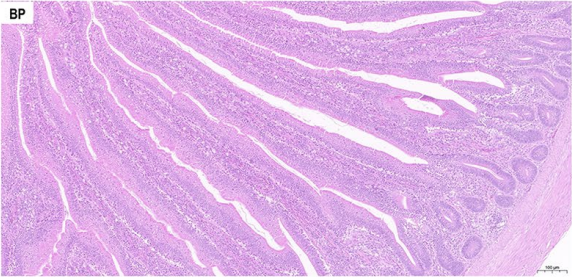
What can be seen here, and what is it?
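Small intestinal mucosa with tall, narrow villi fanning out from the lower right toward the upper left. The villus cores stain pink and are lined by epithelium whose nuclei form a darker purple border. White lumen spaces of varying width lie between the villi. In the lower right, crypts form small rounded glandular profiles with purple epithelium at the villus bases. Pale pink smooth muscle lines the lower right margin.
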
